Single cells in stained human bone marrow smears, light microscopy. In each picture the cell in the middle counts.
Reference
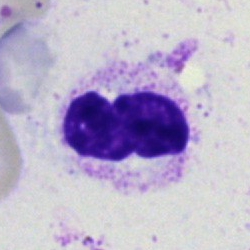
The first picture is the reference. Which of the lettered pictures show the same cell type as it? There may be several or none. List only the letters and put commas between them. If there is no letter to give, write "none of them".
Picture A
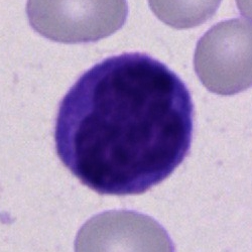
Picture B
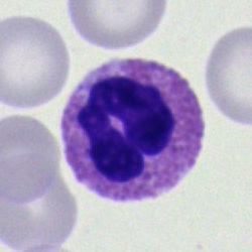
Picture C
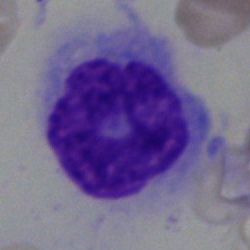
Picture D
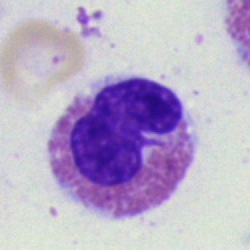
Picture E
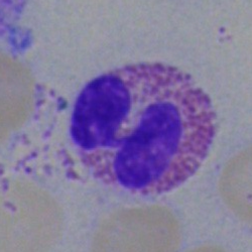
none of them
